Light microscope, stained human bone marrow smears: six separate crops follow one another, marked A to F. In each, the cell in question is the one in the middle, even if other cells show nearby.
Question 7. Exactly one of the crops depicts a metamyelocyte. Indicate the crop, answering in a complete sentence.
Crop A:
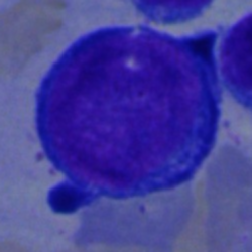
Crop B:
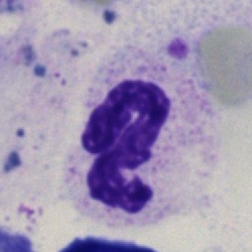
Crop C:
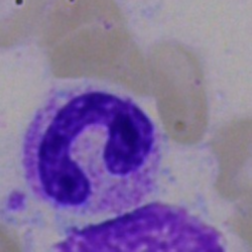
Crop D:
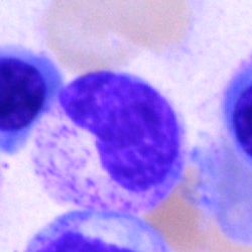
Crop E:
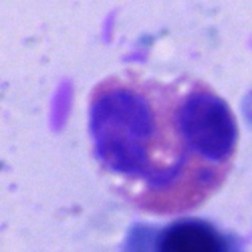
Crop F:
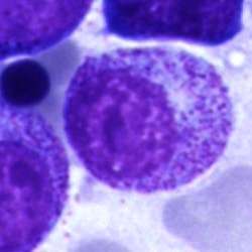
Crop D alone, of all the crops, shows a metamyelocyte.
